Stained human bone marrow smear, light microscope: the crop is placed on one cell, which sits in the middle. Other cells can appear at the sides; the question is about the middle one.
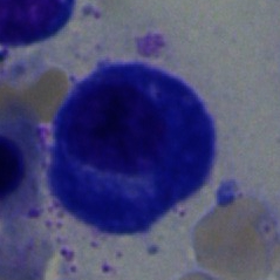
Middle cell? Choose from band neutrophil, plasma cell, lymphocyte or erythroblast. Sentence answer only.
The cell positioned in the middle of the field is a plasma cell.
